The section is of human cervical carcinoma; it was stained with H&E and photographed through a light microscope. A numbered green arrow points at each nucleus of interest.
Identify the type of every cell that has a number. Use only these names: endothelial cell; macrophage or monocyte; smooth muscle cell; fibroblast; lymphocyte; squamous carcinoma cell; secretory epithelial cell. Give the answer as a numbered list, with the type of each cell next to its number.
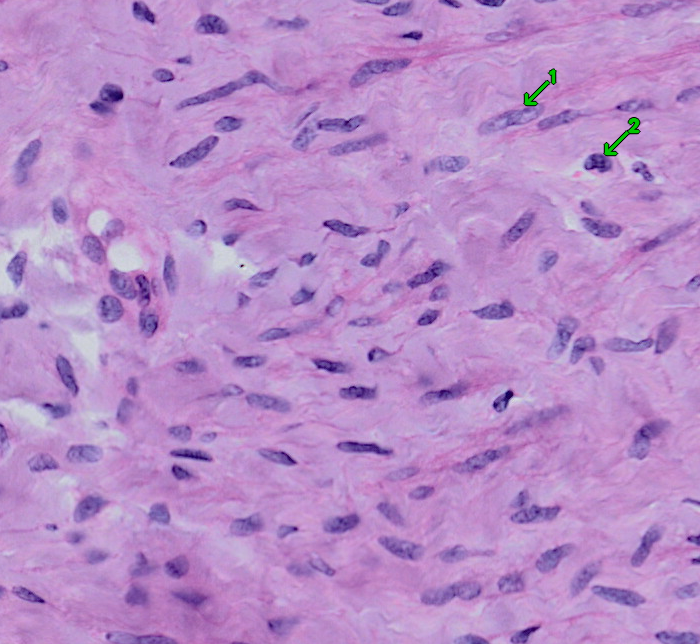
1. smooth muscle cell
2. lymphocyte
